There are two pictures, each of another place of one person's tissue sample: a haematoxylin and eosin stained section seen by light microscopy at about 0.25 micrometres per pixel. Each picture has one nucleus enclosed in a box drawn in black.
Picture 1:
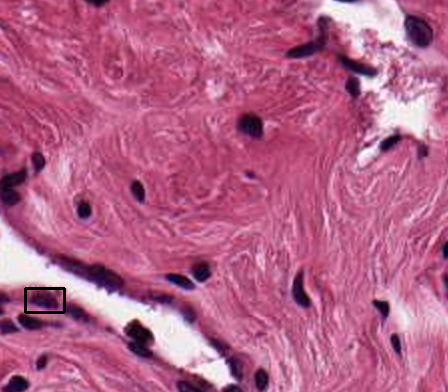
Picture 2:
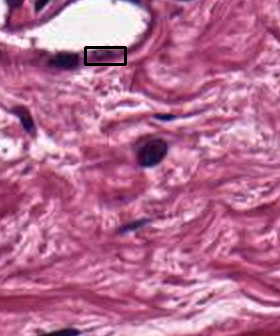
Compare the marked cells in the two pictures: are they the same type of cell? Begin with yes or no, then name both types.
Yes, both are endothelial cells.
